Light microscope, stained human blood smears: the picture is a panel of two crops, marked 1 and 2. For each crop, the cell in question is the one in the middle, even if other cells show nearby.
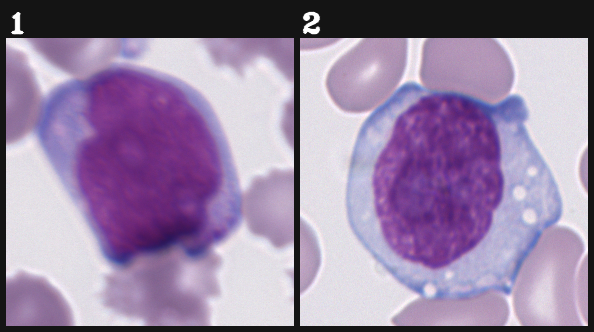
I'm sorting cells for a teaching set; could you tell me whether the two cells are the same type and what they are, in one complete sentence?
Yes, both crops alike show myeloblasts at the centre.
